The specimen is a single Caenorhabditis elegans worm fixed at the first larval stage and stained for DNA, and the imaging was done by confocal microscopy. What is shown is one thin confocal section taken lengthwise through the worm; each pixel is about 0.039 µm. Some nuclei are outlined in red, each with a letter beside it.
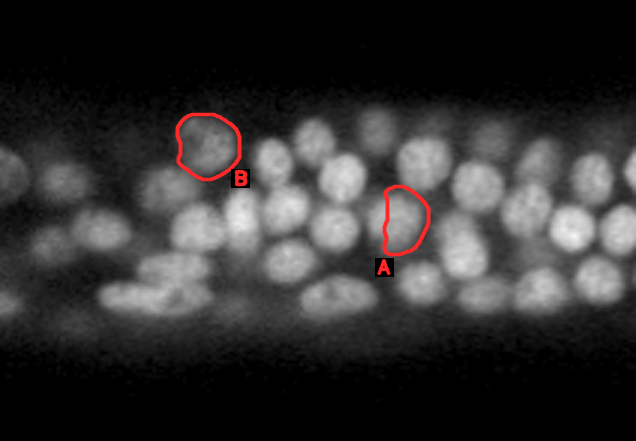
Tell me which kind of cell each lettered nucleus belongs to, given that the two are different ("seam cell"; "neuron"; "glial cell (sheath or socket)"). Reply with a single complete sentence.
B belongs to a glial cell (sheath or socket), and A to a neuron.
